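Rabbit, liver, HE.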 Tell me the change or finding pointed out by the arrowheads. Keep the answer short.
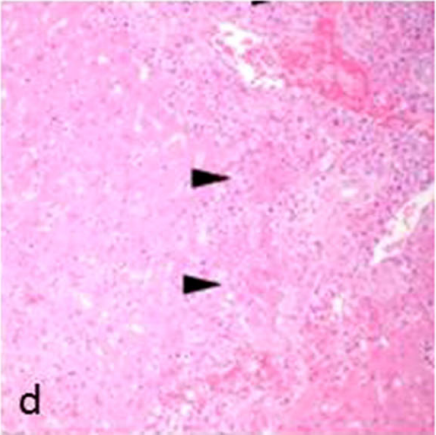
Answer: Acute coagulative necrosis.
